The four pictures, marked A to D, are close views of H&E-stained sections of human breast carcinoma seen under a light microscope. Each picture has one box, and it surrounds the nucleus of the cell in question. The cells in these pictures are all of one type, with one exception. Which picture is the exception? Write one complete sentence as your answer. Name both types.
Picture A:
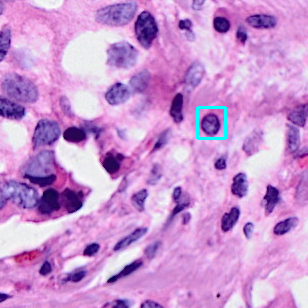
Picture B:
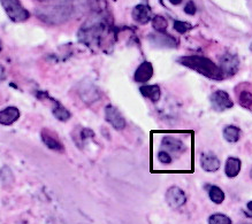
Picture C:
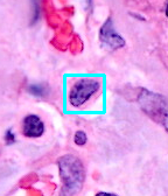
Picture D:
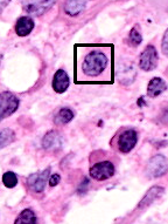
Picture B is the odd one out: it shows a lymphocyte, while the others show mast cells.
